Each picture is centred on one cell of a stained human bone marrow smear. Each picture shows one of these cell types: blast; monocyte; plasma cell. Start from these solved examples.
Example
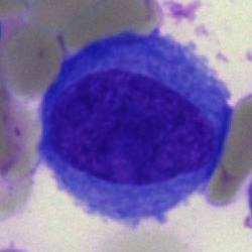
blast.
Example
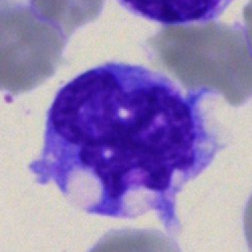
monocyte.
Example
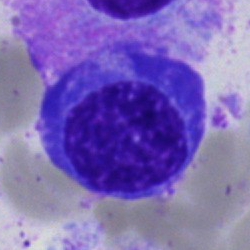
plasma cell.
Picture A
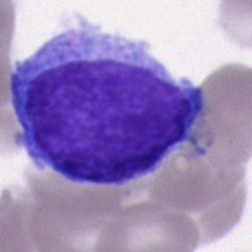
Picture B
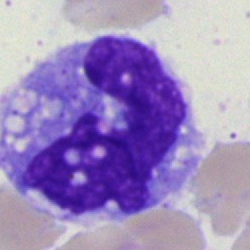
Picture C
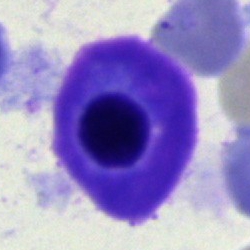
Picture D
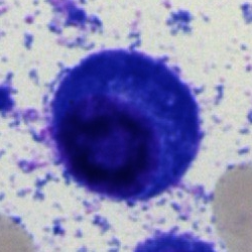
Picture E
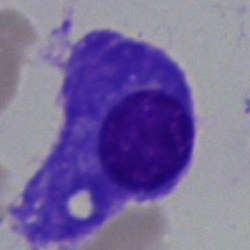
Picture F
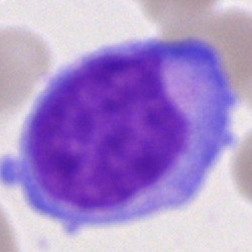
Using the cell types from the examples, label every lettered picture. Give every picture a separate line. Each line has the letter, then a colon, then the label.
A: blast.
B: monocyte.
C: plasma cell.
D: plasma cell.
E: plasma cell.
F: blast.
